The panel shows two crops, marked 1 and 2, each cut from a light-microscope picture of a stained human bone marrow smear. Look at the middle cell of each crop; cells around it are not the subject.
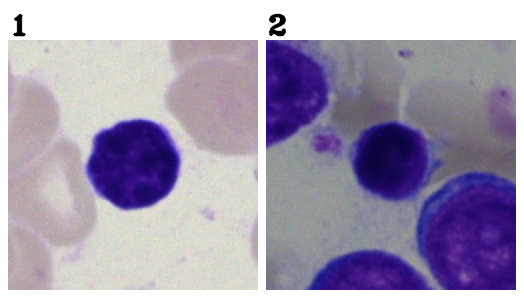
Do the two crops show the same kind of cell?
yes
